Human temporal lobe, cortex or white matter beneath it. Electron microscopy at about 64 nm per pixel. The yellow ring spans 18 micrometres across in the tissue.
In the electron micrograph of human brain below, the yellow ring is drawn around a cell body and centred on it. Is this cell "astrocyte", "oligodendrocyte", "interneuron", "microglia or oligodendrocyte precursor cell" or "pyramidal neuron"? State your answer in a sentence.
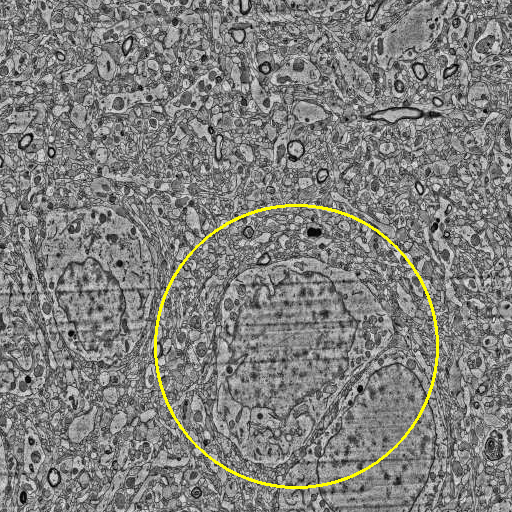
The cell in the middle of the ring is an interneuron.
